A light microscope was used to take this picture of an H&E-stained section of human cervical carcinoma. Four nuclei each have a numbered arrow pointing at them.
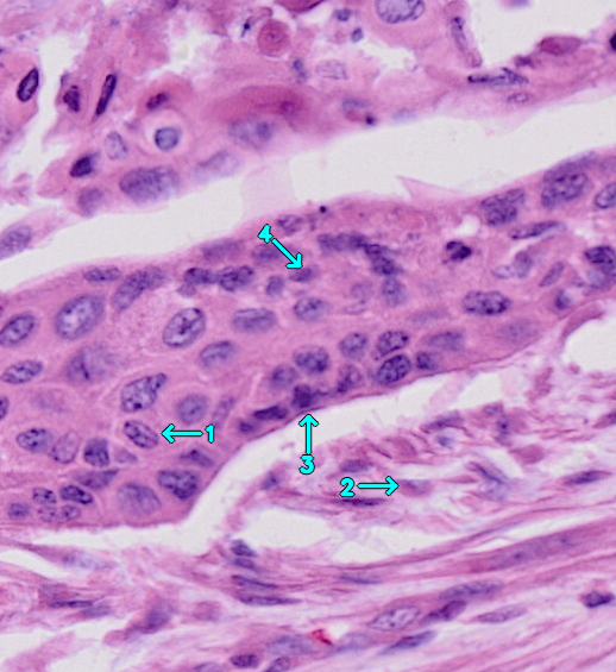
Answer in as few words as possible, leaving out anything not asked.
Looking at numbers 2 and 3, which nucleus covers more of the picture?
3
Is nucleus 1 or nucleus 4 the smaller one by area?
4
